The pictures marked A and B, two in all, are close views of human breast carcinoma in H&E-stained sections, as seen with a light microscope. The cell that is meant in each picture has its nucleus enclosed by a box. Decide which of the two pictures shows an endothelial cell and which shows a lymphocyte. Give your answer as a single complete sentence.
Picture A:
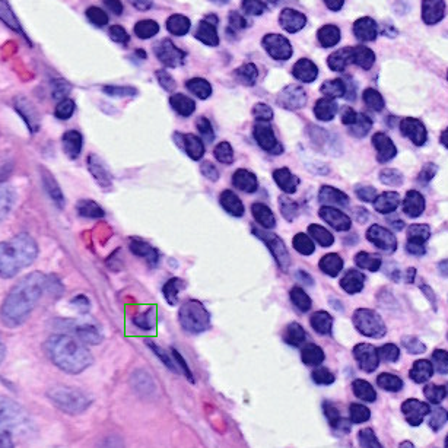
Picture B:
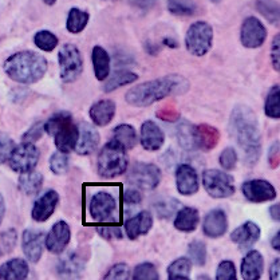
Picture A shows an endothelial cell and picture B shows a lymphocyte.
